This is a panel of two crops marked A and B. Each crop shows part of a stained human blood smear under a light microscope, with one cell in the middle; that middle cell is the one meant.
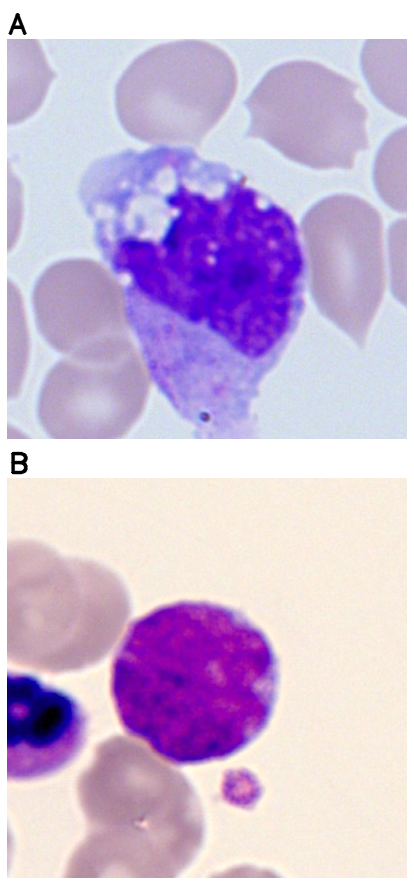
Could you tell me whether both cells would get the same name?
no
